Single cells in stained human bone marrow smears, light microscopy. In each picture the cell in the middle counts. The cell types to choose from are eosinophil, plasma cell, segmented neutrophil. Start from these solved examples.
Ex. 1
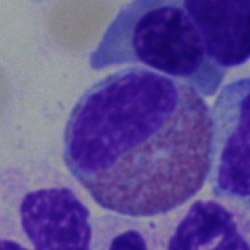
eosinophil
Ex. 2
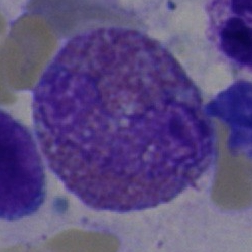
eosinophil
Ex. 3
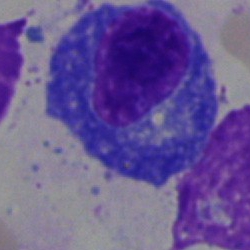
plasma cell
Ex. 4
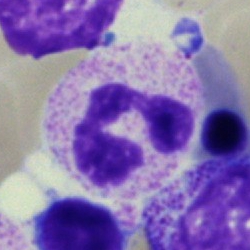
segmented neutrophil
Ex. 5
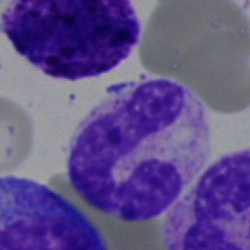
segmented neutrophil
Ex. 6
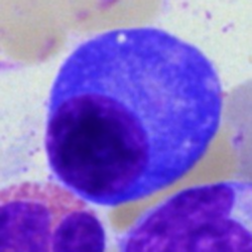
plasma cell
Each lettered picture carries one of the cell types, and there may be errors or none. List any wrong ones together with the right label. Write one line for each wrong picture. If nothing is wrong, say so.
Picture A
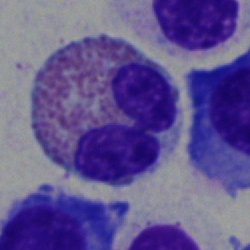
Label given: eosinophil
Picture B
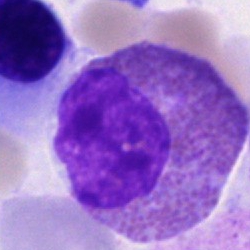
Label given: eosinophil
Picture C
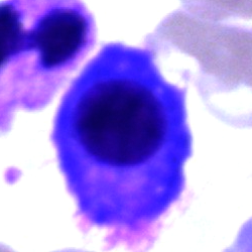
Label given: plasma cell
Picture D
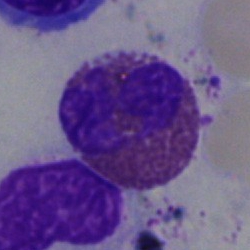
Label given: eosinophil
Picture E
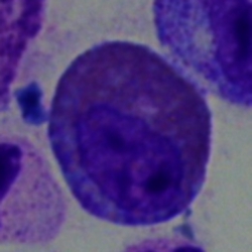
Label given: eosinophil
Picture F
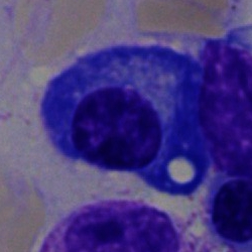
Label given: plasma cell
All correct.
